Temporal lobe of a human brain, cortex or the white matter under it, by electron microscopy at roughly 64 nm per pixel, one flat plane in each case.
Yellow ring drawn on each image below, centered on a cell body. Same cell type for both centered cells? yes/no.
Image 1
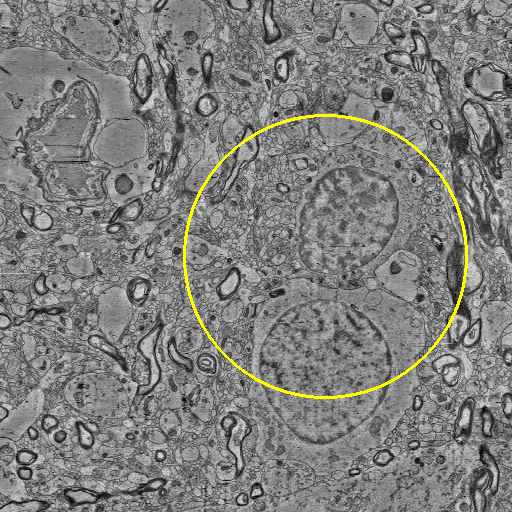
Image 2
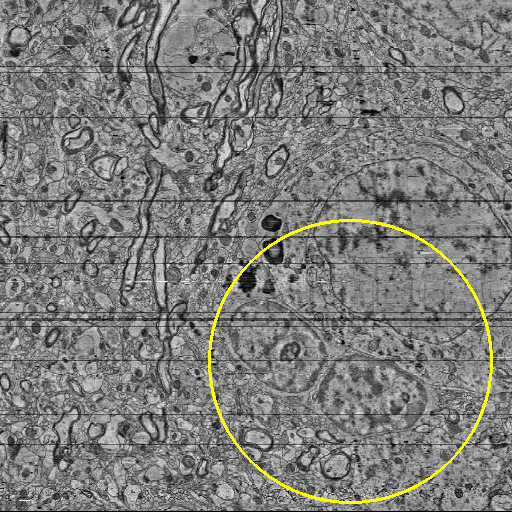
yes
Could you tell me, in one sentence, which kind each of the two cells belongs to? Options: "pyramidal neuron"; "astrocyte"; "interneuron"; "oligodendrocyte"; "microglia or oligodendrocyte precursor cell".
Both rings mark an oligodendrocyte, one in each picture.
